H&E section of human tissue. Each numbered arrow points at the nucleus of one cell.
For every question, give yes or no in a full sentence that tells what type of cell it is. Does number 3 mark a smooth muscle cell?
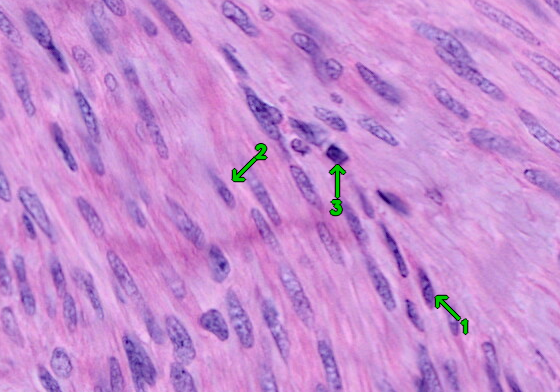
No, cell 3 is not a smooth muscle cell; a lymphocyte is the correct identification.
